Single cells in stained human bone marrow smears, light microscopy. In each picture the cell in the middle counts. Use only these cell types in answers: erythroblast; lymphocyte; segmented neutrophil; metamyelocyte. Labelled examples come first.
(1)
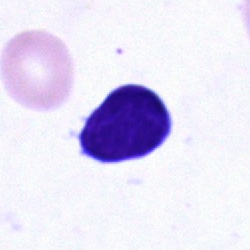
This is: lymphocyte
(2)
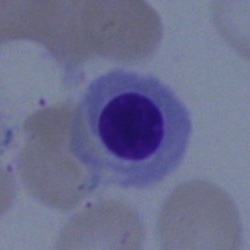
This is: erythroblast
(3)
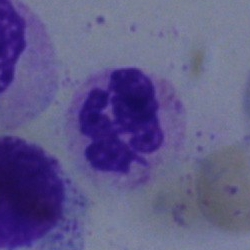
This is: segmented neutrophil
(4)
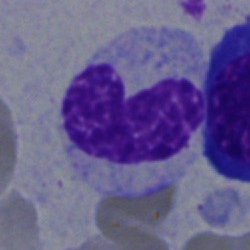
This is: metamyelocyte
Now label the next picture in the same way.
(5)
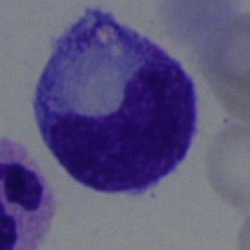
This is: metamyelocyte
